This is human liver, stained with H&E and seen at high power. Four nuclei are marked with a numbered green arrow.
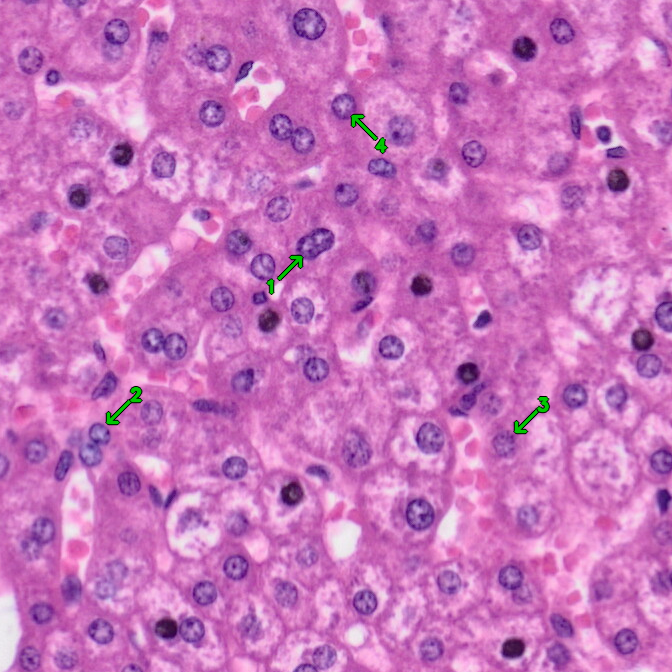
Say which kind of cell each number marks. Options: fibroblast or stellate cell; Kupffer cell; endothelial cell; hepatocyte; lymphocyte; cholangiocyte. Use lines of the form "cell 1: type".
cell 1: hepatocyte
cell 2: cholangiocyte
cell 3: hepatocyte
cell 4: hepatocyte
